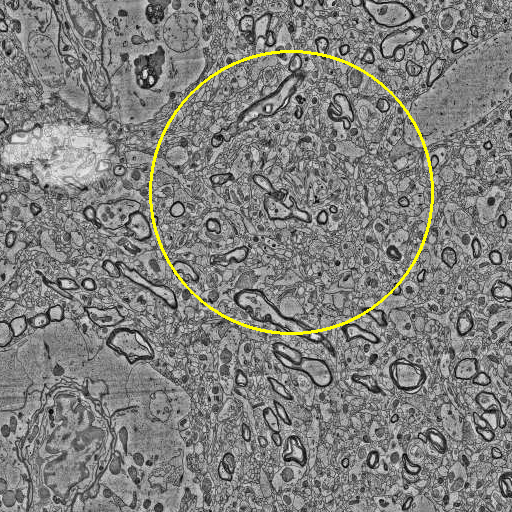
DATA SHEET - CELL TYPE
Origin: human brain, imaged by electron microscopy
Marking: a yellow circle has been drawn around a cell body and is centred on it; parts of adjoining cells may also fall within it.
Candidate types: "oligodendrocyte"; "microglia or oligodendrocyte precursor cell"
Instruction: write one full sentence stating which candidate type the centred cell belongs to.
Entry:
The cell body at the centre of the yellow ring in this micrograph belongs to an oligodendrocyte.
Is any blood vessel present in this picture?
Yes, the image shows a blood vessel.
